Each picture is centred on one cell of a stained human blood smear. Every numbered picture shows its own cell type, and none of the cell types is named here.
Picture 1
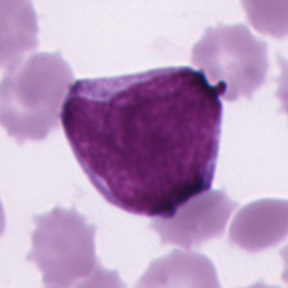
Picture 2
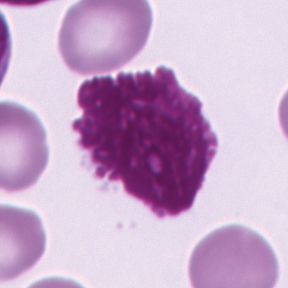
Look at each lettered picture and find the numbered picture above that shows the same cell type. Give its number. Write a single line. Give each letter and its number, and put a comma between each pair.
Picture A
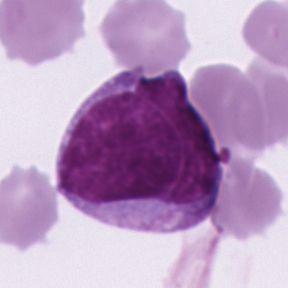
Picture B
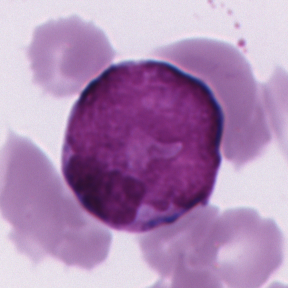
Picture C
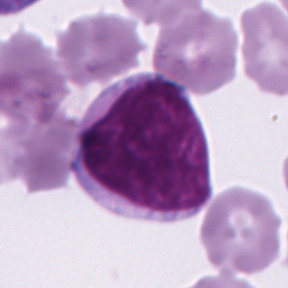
A 1, B 1, C 1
